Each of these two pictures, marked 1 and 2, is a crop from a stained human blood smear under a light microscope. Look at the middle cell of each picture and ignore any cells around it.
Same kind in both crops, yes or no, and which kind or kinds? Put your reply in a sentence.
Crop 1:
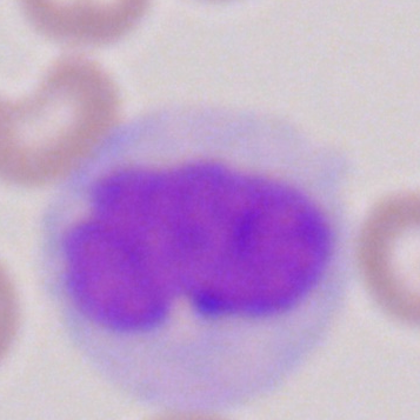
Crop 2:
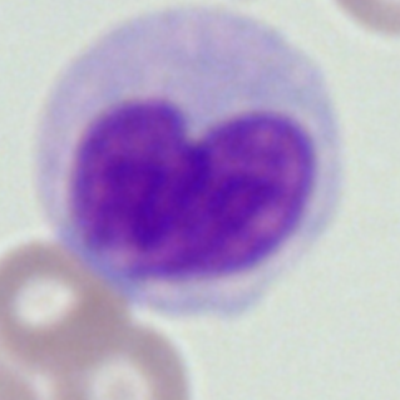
Yes, the central cells of both crops are monocytes.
